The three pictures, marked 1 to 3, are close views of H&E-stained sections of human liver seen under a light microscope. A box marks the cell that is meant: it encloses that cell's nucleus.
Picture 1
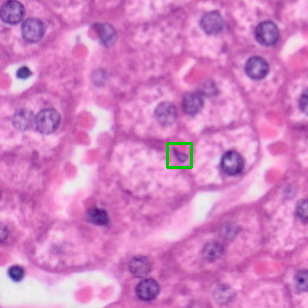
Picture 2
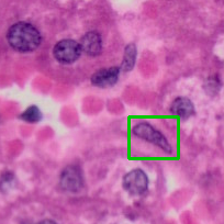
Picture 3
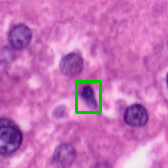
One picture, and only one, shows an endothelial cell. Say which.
1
